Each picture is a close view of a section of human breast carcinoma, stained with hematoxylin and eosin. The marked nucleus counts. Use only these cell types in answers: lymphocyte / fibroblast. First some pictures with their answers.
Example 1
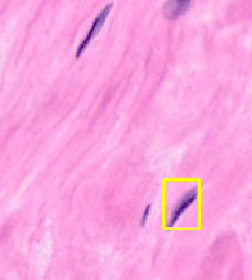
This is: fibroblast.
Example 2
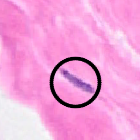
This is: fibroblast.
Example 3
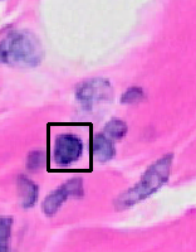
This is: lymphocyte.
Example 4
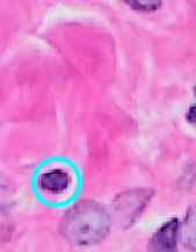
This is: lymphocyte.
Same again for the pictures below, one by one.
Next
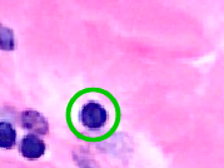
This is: lymphocyte.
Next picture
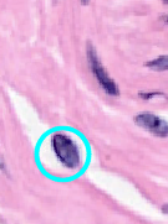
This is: lymphocyte.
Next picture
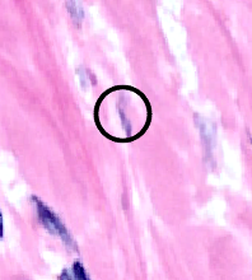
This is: fibroblast.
